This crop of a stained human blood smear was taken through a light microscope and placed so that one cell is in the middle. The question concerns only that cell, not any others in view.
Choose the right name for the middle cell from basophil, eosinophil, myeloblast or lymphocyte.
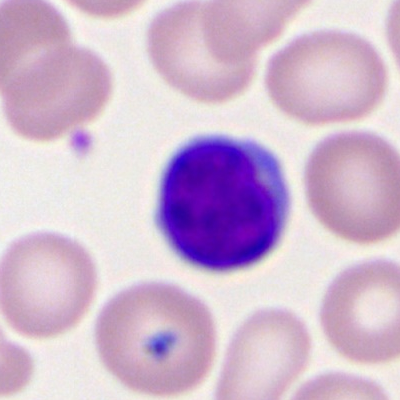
lymphocyte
